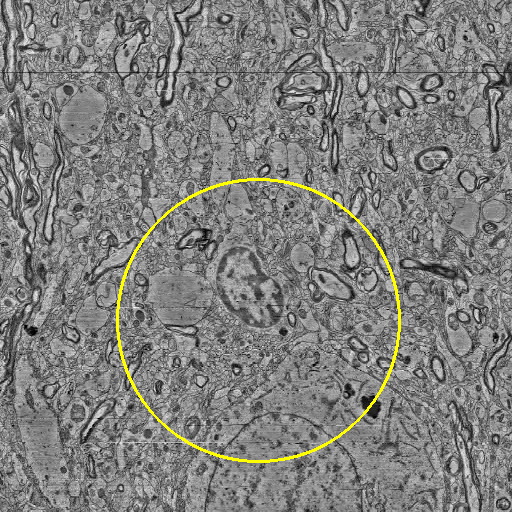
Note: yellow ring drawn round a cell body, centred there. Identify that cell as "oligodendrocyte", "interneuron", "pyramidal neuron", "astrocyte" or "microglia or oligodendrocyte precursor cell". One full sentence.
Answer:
The cell in the middle of the ring is a microglial cell or oligodendrocyte precursor cell.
